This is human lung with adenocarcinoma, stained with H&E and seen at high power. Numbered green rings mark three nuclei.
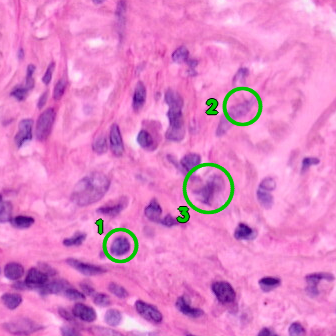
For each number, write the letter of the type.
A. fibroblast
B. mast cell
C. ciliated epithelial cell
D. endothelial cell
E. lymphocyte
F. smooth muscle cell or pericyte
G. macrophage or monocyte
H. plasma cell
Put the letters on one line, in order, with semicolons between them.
E; F; A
